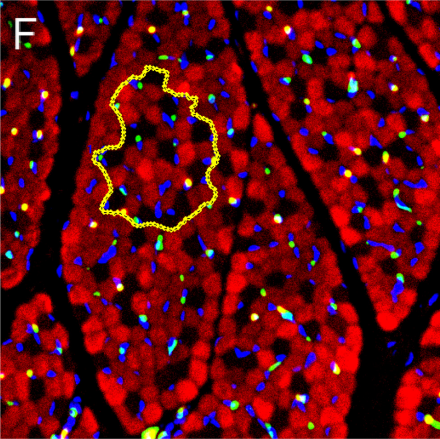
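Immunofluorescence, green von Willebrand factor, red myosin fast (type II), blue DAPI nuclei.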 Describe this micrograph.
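The fibers are rounded to polygonal profiles, most filled with red, with scattered dark fibers that are unstained in red set among them. The fibers are grouped into bundles separated by dark, fiber-free bands of connective tissue.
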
